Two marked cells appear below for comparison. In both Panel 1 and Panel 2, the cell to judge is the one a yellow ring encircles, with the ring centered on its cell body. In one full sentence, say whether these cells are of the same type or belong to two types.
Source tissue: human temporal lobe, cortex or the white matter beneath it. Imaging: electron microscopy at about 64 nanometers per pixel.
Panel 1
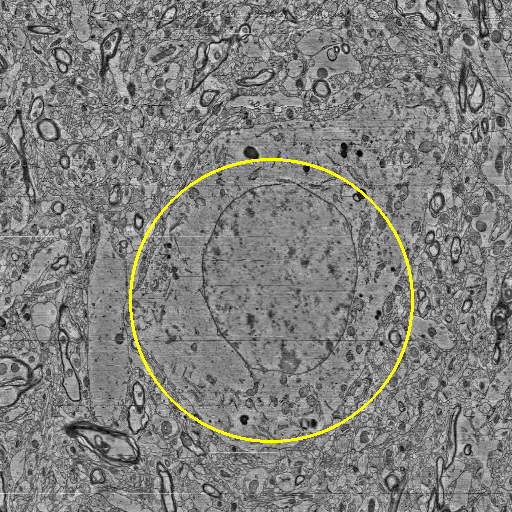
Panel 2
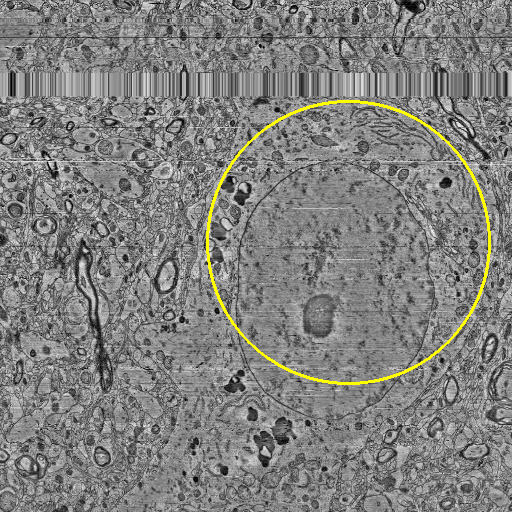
The cell centered in the Panel 1 ring and the one in Panel 2 are of the same type.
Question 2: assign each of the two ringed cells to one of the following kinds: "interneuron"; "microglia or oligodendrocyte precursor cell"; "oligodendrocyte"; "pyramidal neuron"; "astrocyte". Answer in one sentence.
Each cell at the centre of a ring is a pyramidal neuron.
